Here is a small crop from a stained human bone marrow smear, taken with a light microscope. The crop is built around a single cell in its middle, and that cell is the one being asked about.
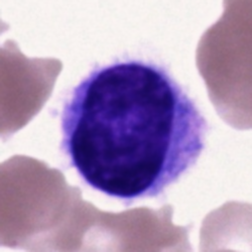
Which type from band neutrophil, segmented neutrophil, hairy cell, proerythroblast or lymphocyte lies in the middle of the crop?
hairy cell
